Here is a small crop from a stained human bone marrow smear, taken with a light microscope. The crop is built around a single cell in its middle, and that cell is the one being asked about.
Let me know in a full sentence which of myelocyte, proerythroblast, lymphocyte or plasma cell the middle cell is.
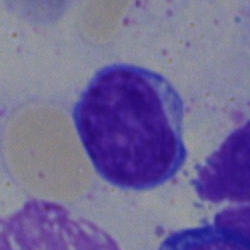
Answering briefly, the cell in the middle is a lymphocyte.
